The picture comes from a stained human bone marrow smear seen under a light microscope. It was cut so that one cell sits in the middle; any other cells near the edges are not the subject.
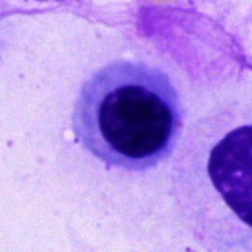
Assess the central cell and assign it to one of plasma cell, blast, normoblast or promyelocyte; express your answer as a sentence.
The cell the crop is centered on is a normoblast.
